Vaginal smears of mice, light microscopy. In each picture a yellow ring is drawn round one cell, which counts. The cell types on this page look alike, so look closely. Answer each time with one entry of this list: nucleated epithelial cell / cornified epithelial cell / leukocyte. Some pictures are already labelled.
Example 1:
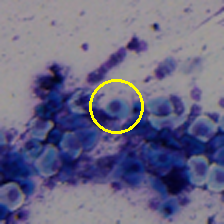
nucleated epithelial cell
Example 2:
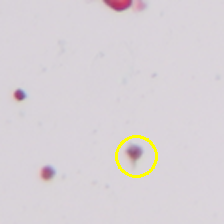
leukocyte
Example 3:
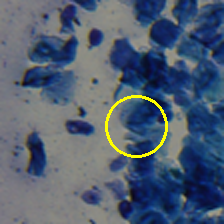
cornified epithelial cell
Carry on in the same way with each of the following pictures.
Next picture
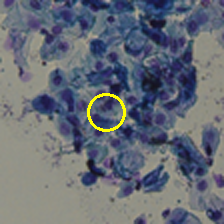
nucleated epithelial cell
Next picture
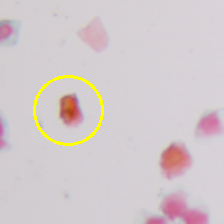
cornified epithelial cell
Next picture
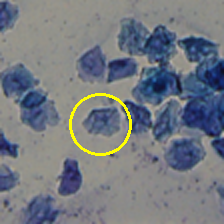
cornified epithelial cell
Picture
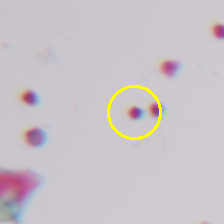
leukocyte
